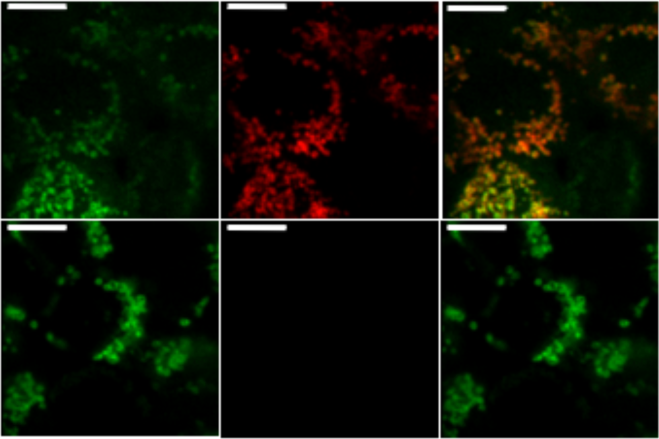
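Cultured cells in which the green signal lies in many small puncta and short threads, packed densely around dark, unstained central areas and thinning out toward the cell edges. In the upper row the red signal follows the same punctate pattern, so the merged image appears yellow-orange. In the lower row the green pattern is similar but the red channel is dark.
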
